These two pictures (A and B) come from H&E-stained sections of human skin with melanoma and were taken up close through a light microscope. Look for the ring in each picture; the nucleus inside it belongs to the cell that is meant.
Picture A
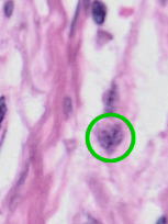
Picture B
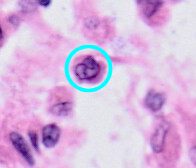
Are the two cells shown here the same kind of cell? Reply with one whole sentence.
Yes, the two pictures both show “macrophages or monocytes”.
